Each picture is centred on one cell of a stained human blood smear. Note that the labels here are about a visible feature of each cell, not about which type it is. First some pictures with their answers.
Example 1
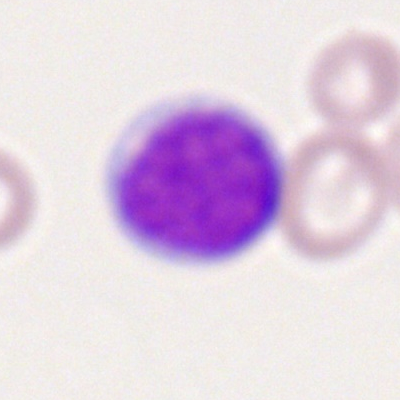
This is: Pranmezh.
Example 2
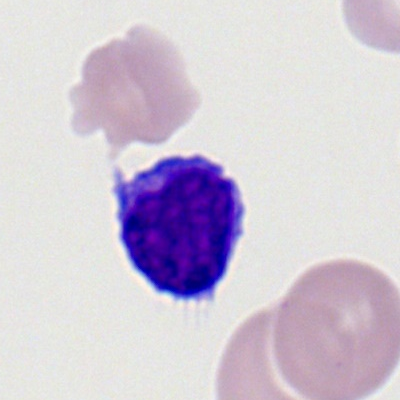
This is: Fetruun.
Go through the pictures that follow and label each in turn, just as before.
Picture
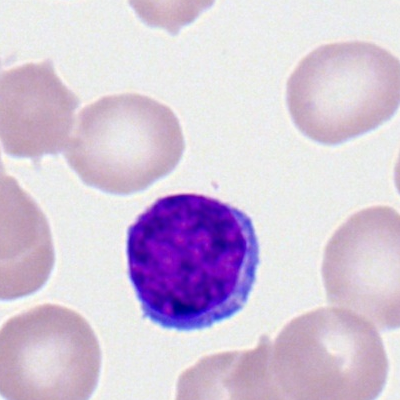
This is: Pranmezh.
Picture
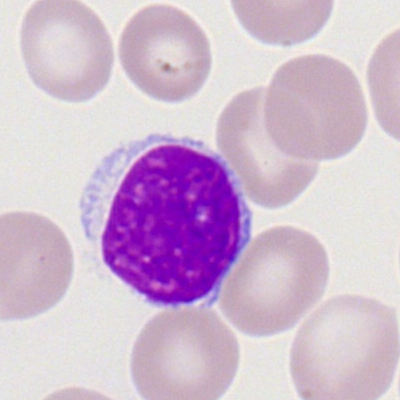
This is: Fetruun.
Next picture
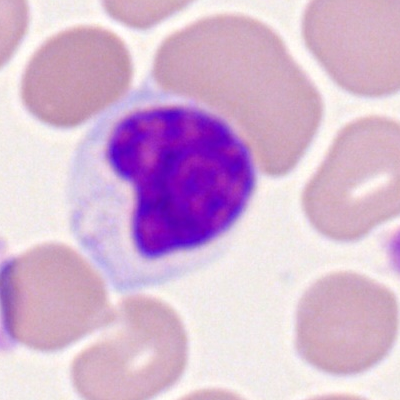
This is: Pranmezh.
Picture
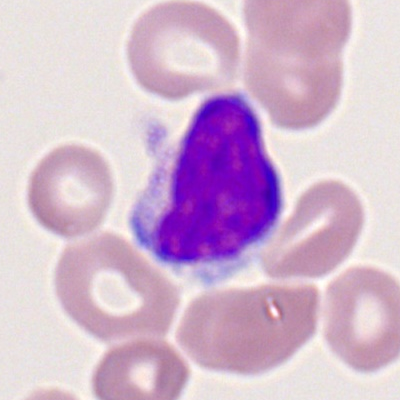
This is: Fetruun.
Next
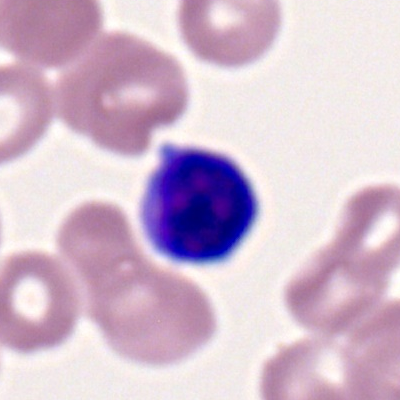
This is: Fetruun.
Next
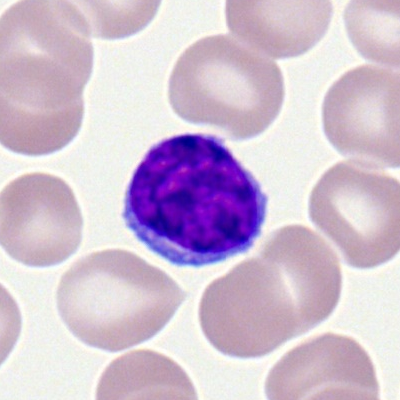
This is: Pranmezh.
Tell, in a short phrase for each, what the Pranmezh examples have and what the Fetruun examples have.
Pranmezh, smooth outline; Fetruun, ragged outline or projections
